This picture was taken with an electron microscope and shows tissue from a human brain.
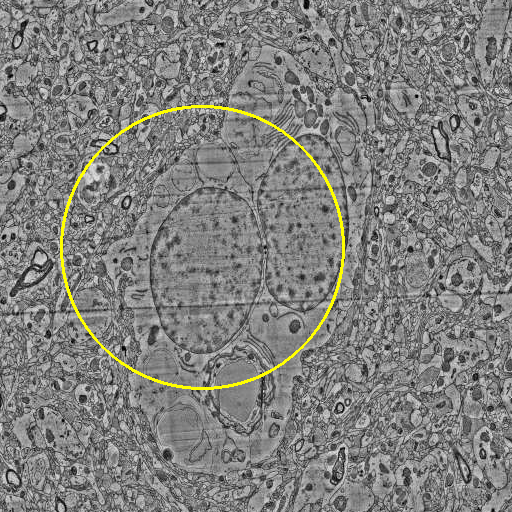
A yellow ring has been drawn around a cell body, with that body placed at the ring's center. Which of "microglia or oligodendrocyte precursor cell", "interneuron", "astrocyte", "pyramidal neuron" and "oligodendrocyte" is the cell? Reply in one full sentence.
In this picture, an astrocyte is the cell at the center of the yellow ring.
